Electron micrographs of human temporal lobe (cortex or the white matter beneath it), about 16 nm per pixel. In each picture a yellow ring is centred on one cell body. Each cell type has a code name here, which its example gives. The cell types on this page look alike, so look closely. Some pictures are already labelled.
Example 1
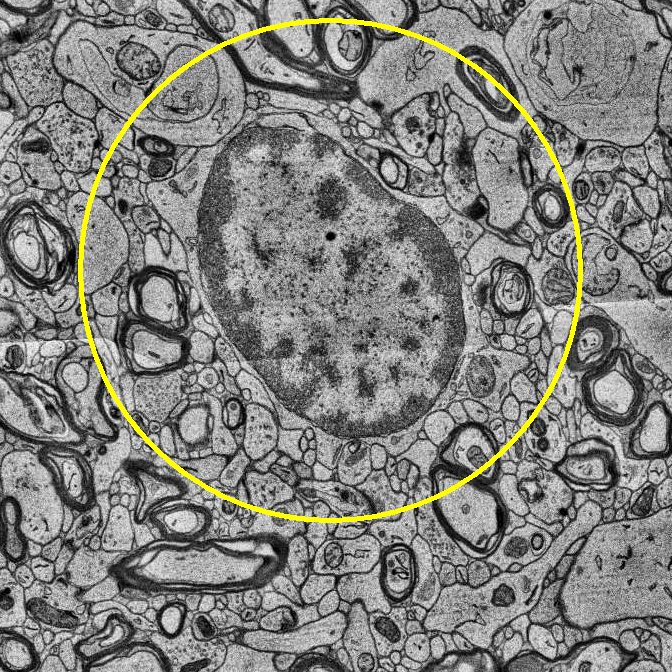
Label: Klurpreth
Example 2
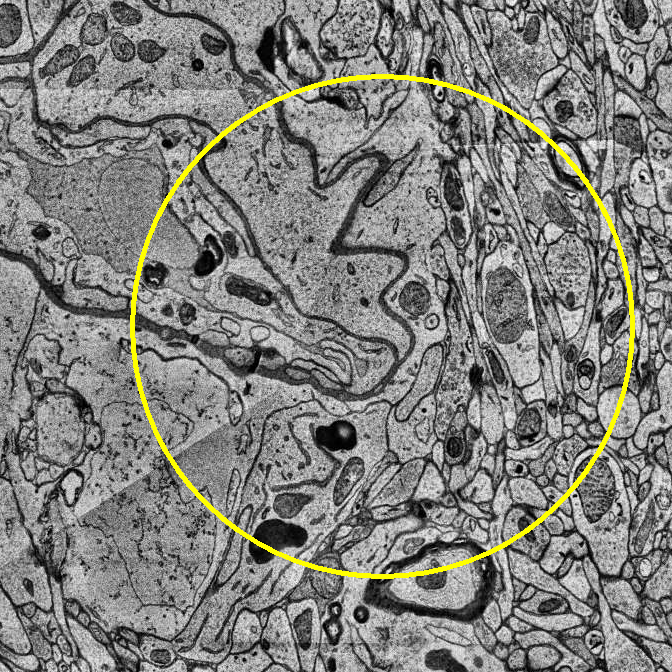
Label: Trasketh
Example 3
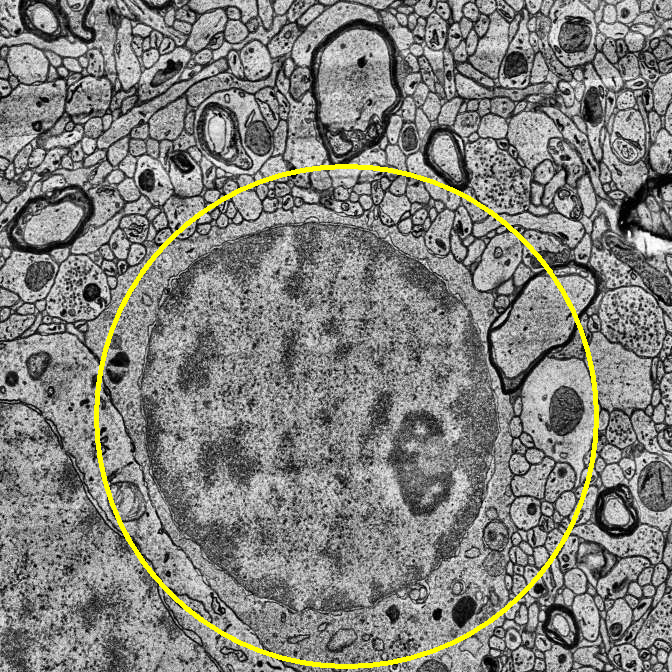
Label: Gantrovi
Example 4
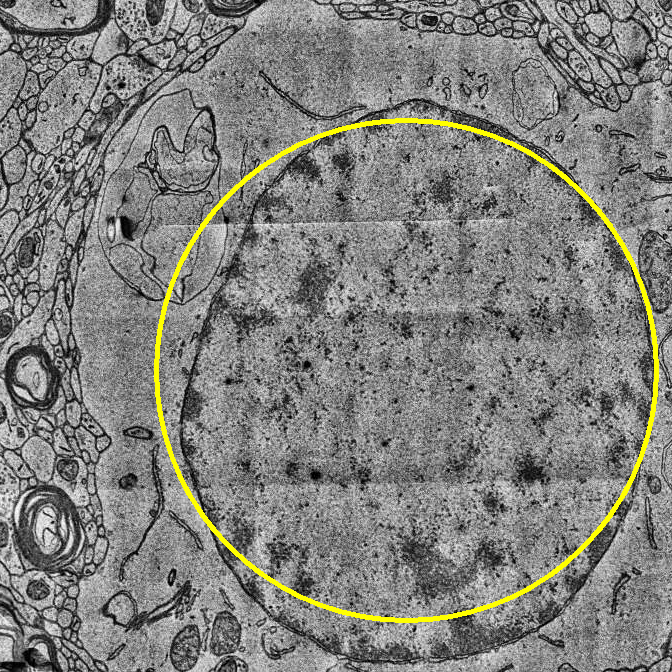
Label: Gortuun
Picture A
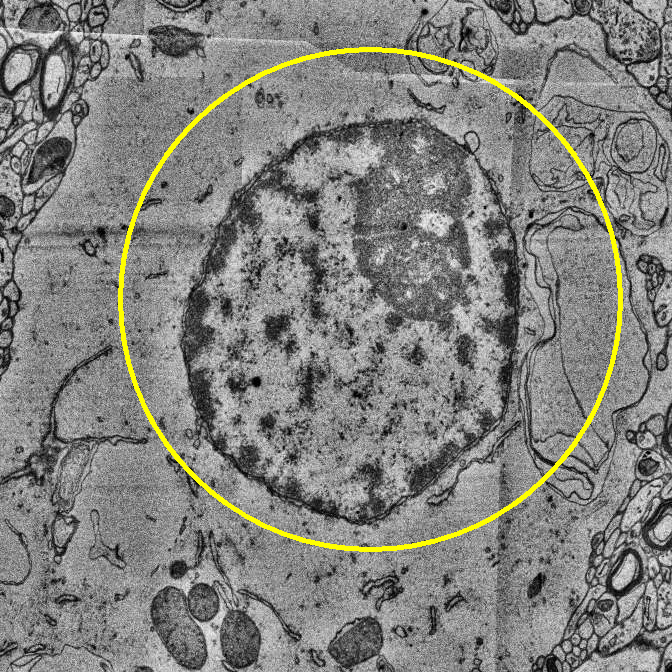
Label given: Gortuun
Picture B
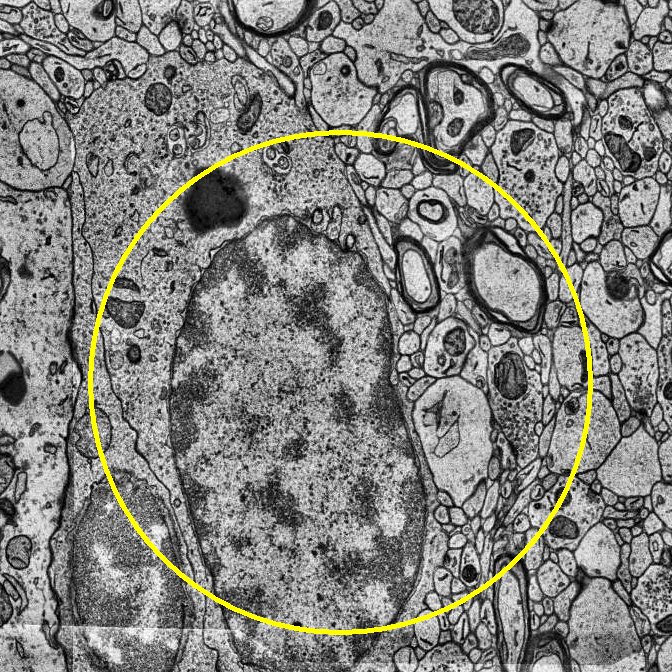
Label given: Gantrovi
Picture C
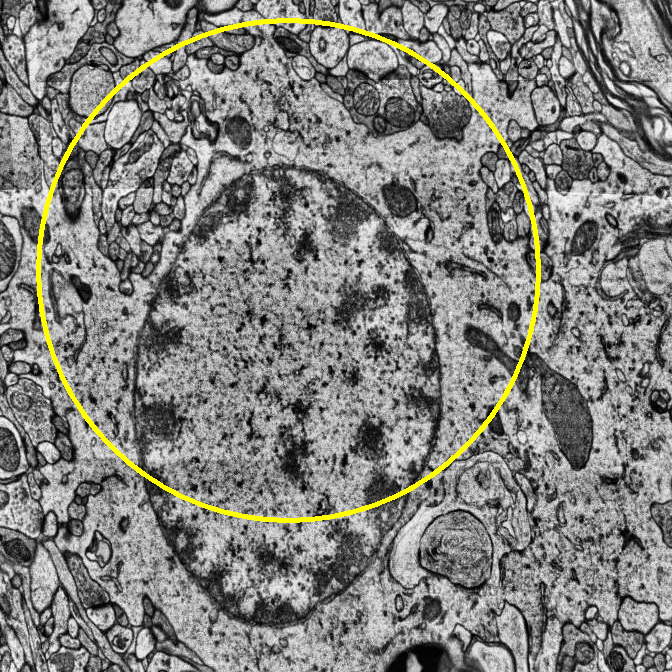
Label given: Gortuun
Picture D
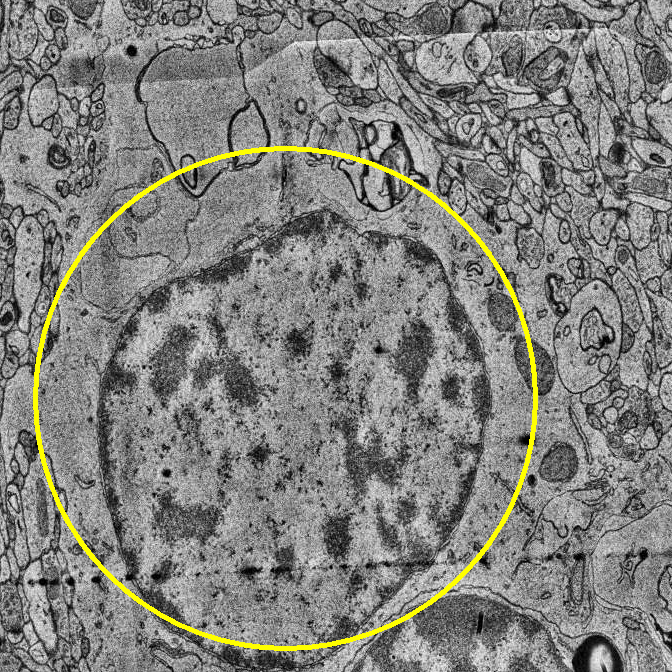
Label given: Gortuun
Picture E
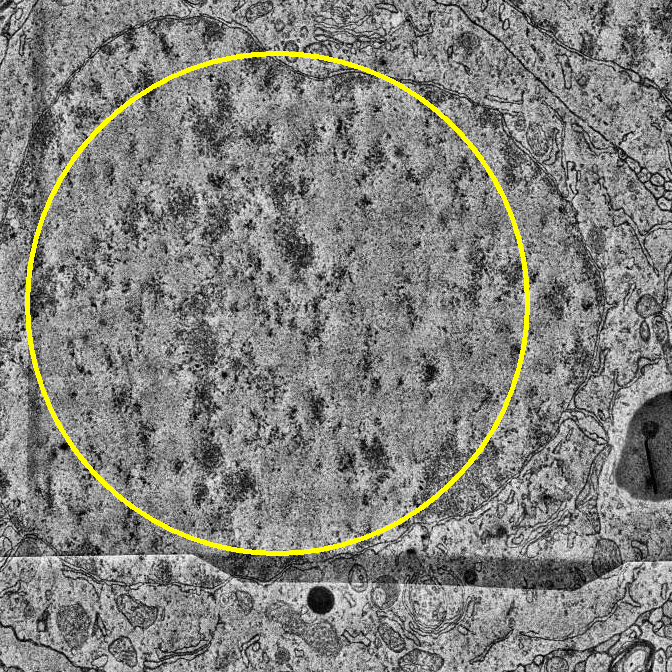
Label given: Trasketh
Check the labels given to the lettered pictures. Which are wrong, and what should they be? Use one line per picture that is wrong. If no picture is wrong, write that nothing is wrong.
No label is wrong.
